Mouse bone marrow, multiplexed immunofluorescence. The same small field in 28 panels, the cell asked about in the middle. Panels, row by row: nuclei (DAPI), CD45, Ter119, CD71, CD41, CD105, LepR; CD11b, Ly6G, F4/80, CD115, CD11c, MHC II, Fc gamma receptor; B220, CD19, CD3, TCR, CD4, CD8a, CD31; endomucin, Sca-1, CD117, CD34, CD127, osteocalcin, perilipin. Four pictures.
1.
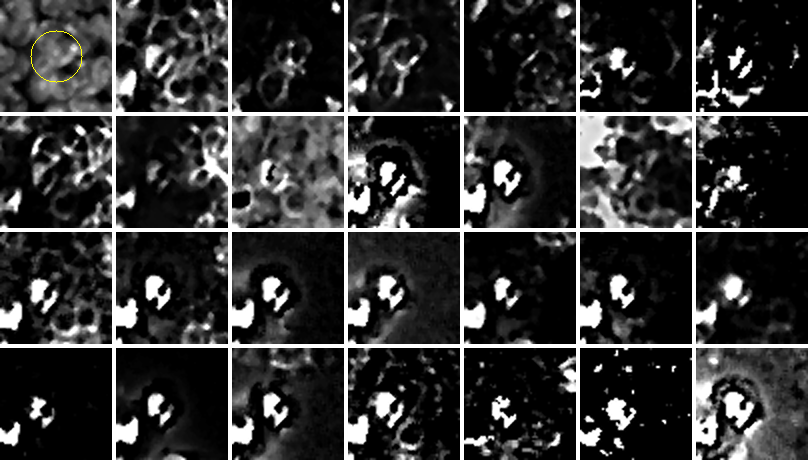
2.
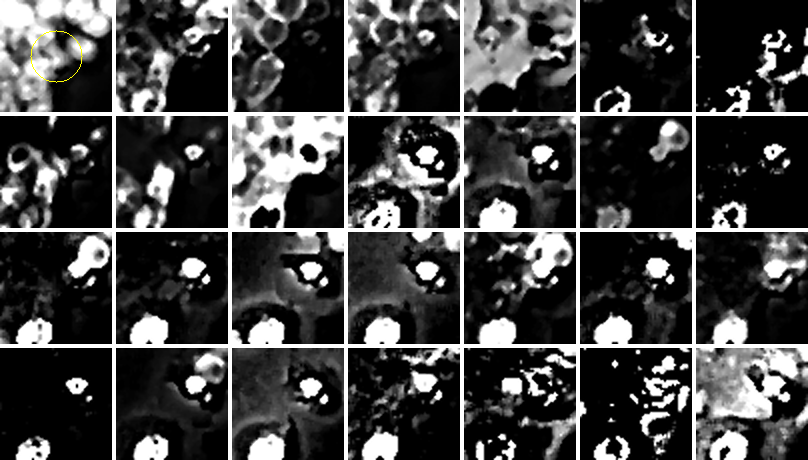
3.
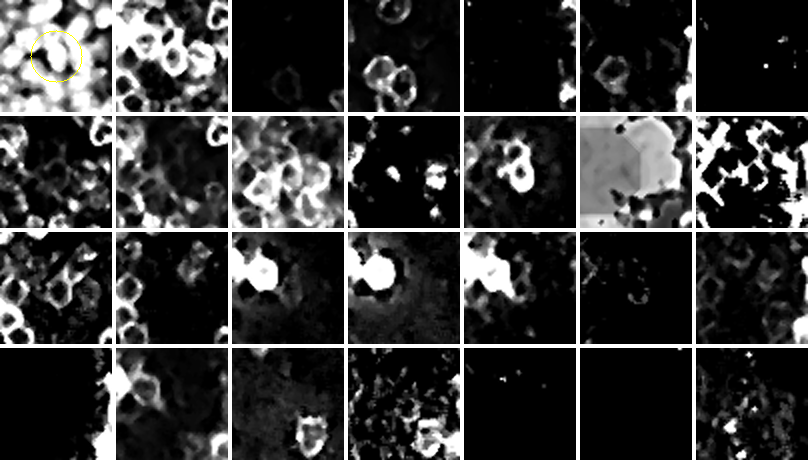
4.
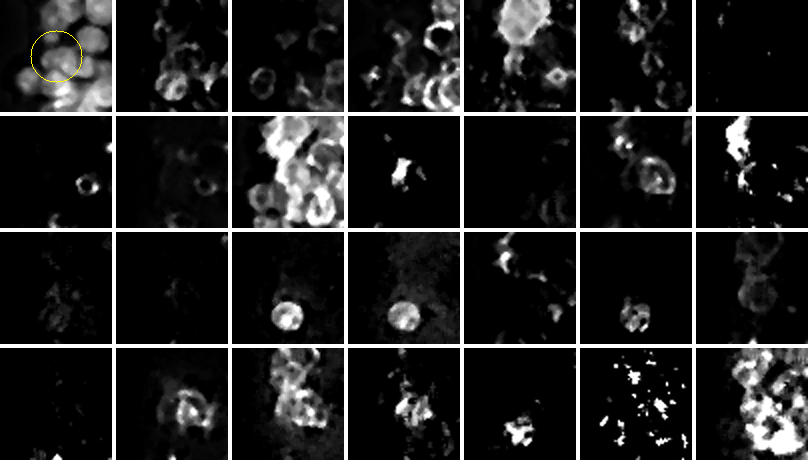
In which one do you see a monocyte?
In picture 1.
